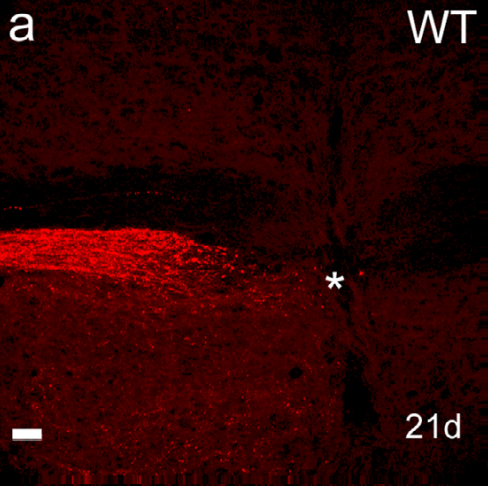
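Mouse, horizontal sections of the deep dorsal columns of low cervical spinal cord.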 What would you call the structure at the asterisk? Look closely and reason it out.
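Lesion cavity. The asterisk lies on a narrow dark vertical cleft in the tissue. The bright red fibre band fades out just left of the cleft.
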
